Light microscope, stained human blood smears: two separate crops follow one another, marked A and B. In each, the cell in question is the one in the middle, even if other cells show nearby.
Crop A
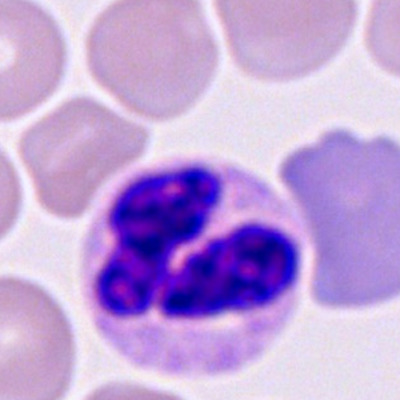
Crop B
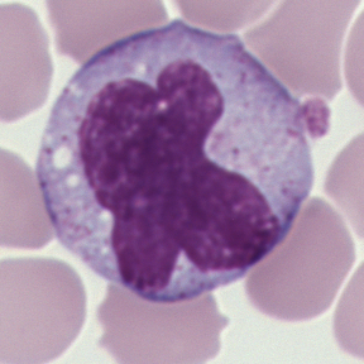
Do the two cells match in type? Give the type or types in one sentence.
No, crop A contains a neutrophil, while crop B contains a monocyte.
